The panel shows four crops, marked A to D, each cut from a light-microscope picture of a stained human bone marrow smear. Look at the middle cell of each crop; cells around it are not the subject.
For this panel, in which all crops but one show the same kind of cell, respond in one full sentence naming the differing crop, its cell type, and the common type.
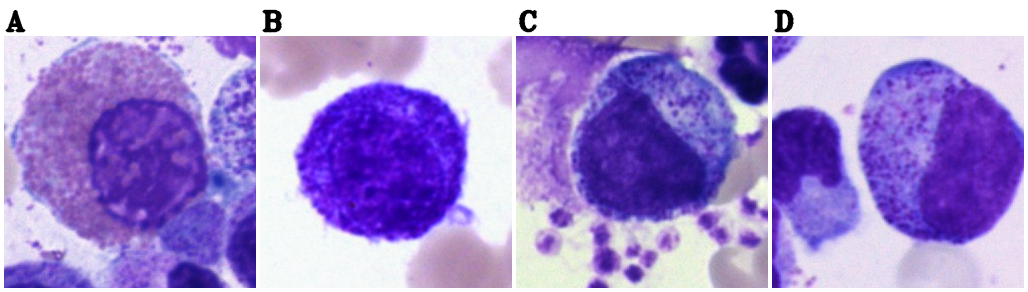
All the crops show promyelocytes, barring crop A, which is an eosinophil.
